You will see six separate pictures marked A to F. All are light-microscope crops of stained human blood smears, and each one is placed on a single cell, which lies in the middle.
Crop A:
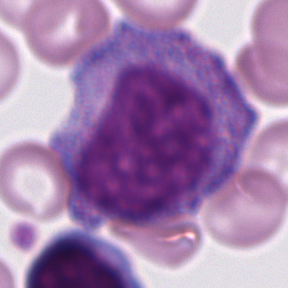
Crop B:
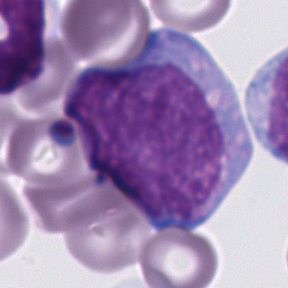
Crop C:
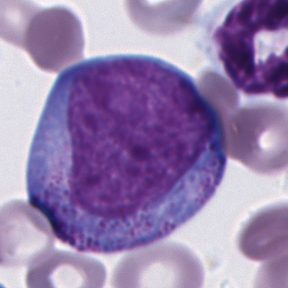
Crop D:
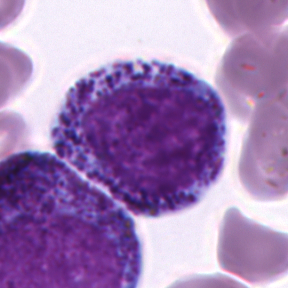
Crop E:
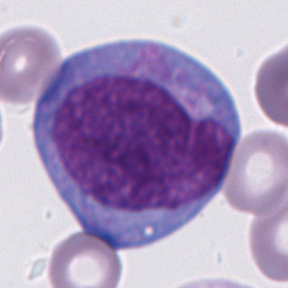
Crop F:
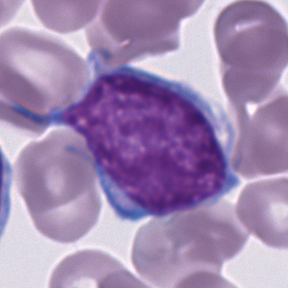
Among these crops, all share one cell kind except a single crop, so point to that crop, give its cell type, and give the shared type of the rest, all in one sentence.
Only crop F differs, being a blast, while the others all show promyelocytes.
